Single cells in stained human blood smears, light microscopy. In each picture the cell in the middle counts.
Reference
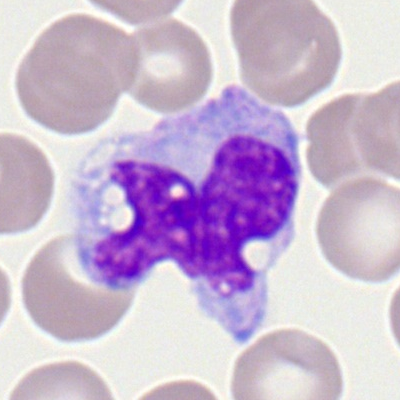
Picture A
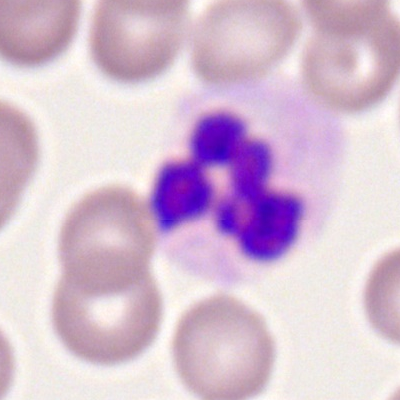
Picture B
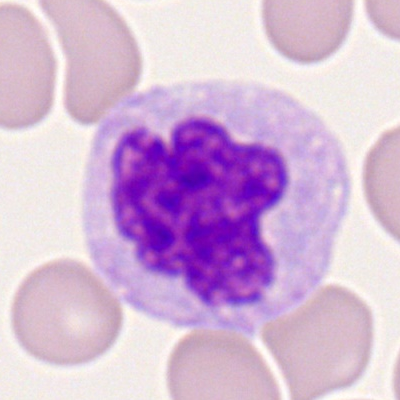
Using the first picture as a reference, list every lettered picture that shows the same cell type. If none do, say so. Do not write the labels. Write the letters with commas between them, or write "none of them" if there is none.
B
